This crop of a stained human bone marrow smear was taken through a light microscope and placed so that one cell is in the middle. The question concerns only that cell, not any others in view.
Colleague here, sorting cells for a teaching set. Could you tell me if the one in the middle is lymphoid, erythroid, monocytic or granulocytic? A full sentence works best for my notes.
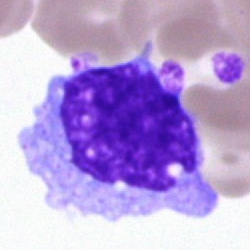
The centered cell should be recorded as belonging to the monocytic lineage.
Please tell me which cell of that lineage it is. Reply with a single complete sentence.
In the middle of this smear crop, the cell is a monocyte.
